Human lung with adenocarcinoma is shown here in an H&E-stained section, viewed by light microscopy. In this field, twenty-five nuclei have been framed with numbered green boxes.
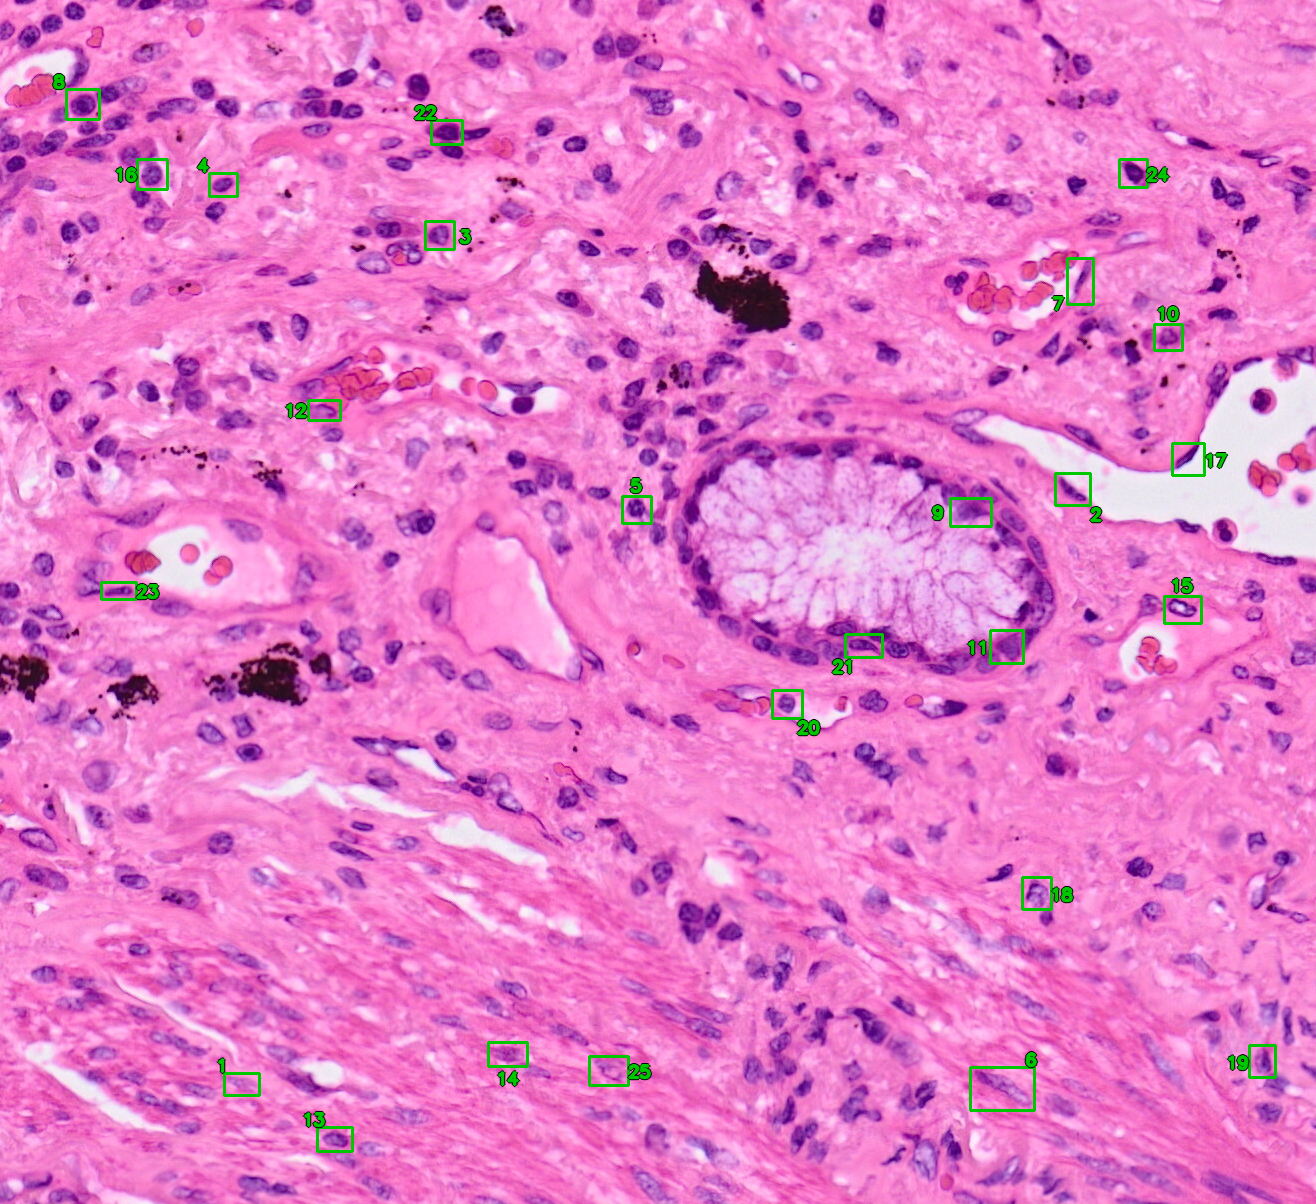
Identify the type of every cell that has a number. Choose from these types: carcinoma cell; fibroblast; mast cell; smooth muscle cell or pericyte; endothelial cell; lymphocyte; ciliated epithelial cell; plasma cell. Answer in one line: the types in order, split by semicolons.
smooth muscle cell or pericyte; endothelial cell; mast cell; mast cell; lymphocyte; smooth muscle cell or pericyte; endothelial cell; lymphocyte; ciliated epithelial cell; plasma cell; ciliated epithelial cell; endothelial cell; mast cell; smooth muscle cell or pericyte; endothelial cell; lymphocyte; endothelial cell; fibroblast; mast cell; lymphocyte; ciliated epithelial cell; plasma cell; endothelial cell; plasma cell; smooth muscle cell or pericyte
